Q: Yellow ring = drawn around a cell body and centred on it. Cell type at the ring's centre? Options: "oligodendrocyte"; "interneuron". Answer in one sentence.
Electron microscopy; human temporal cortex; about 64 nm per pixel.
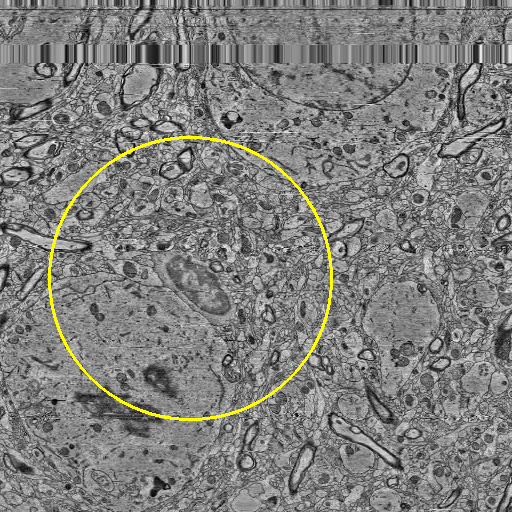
Centred in the ring is an oligodendrocyte.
